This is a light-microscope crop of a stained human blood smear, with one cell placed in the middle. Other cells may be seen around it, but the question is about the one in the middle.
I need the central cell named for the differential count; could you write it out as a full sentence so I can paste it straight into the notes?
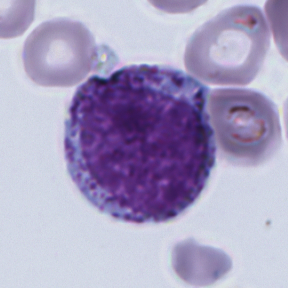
The cell at the central position in this crop is a promyelocyte.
